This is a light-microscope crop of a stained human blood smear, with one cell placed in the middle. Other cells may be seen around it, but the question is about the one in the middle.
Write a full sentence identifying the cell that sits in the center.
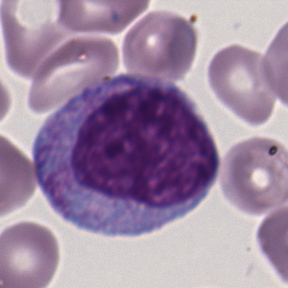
The middle of this crop holds a promyelocyte.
